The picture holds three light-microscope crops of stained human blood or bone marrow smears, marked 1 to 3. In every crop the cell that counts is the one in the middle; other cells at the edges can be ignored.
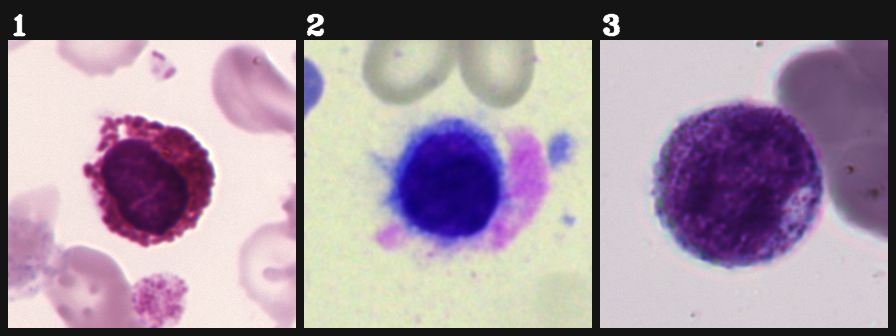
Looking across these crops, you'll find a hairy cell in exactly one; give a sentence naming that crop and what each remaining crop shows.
Crop 2 features a hairy cell, while crop 1 is an eosinophil and crop 3 is a promyelocyte.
